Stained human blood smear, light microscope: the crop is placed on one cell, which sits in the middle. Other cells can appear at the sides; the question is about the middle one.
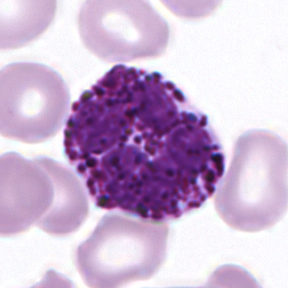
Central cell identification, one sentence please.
The middle position in this crop is taken by a basophil.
